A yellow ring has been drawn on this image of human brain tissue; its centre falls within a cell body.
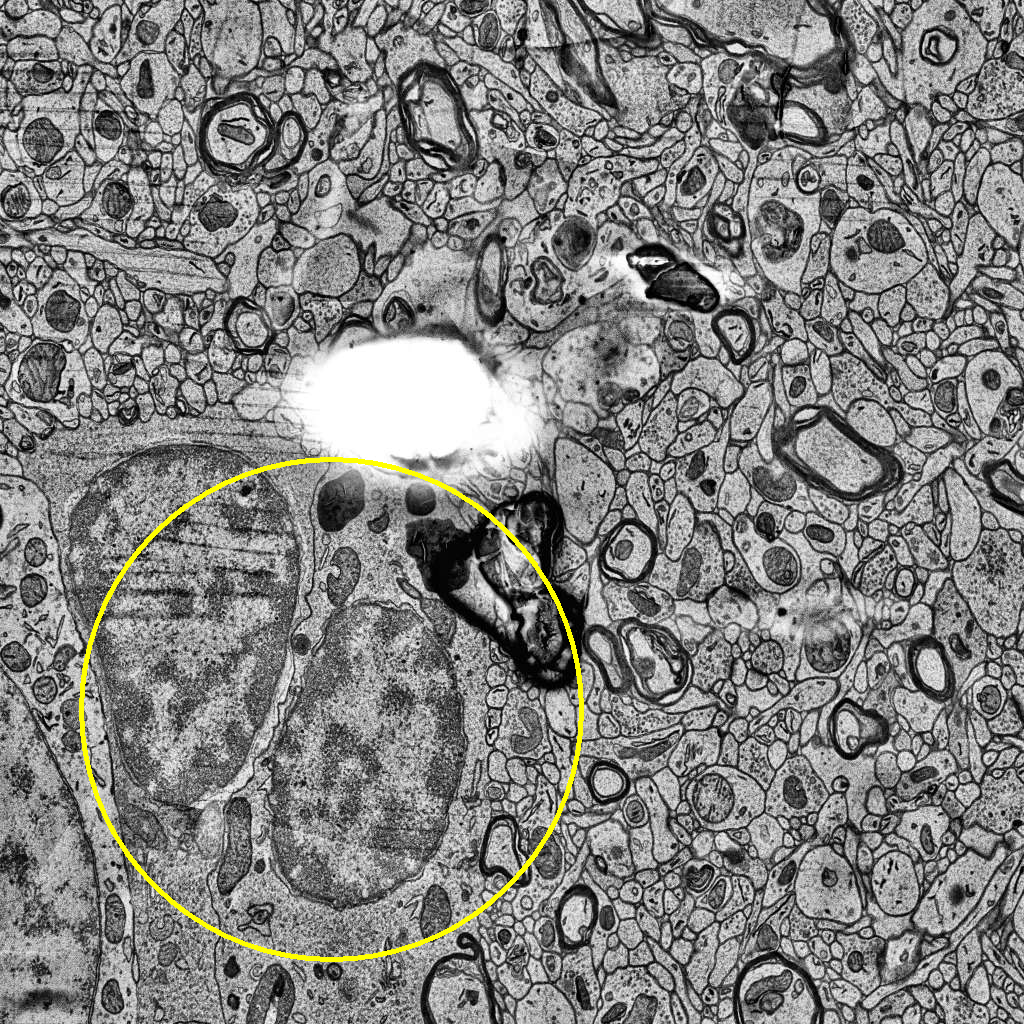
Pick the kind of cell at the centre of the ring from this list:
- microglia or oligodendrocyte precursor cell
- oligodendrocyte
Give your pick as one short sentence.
The centre of the ring holds an oligodendrocyte.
